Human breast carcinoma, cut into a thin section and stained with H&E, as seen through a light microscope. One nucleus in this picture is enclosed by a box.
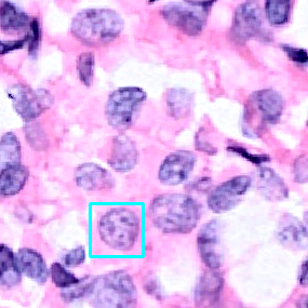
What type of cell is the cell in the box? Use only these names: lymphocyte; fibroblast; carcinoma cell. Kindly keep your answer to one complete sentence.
As classified here, the cell in the box is a carcinoma cell.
